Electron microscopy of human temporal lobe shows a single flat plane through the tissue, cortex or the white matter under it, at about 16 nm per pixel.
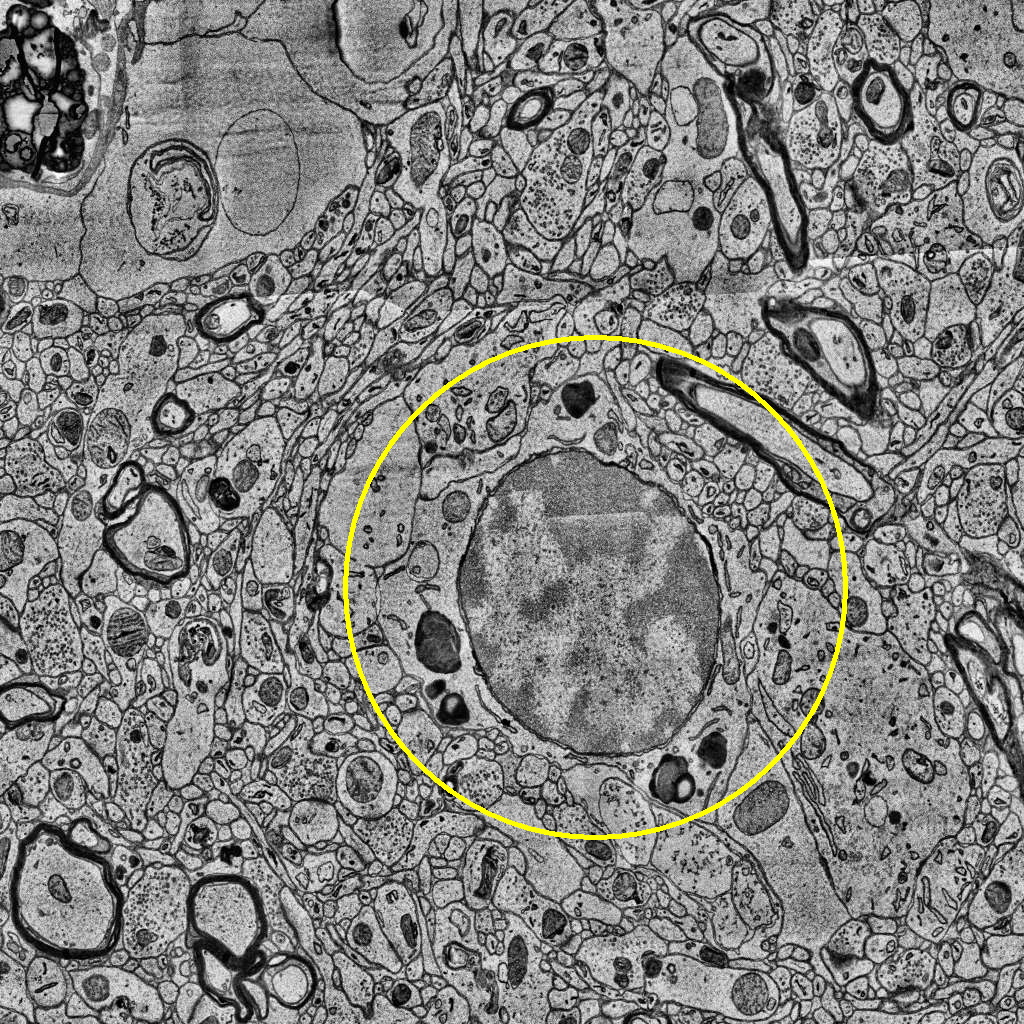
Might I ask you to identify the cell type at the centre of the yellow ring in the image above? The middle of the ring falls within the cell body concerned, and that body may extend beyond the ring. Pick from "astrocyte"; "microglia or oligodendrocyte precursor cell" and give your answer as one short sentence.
The centre of the ring falls on a microglial cell or oligodendrocyte precursor cell.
